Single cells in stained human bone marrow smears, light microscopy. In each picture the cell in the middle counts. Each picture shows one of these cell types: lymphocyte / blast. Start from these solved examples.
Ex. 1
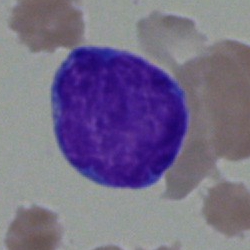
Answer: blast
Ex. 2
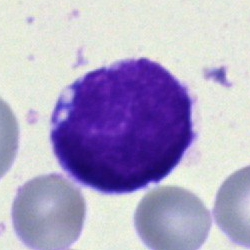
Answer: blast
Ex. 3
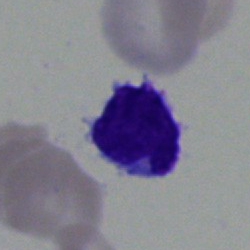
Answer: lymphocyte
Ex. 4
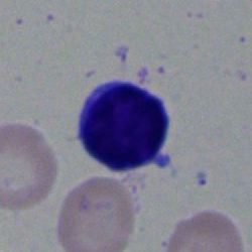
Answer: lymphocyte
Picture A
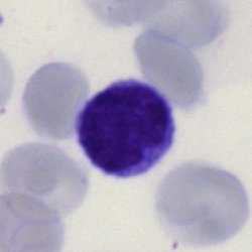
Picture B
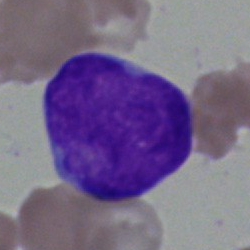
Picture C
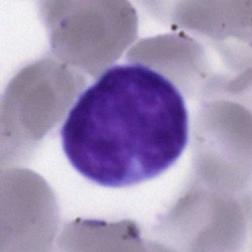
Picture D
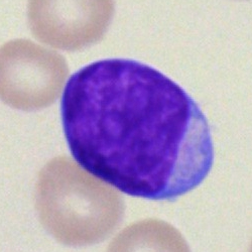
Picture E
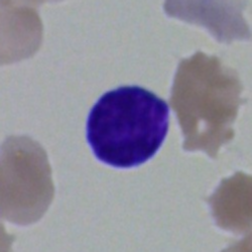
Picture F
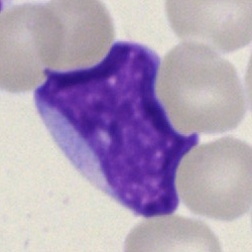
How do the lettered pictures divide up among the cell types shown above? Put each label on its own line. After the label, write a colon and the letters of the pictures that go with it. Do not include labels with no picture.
lymphocyte: A, C, E
blast: B, D, F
